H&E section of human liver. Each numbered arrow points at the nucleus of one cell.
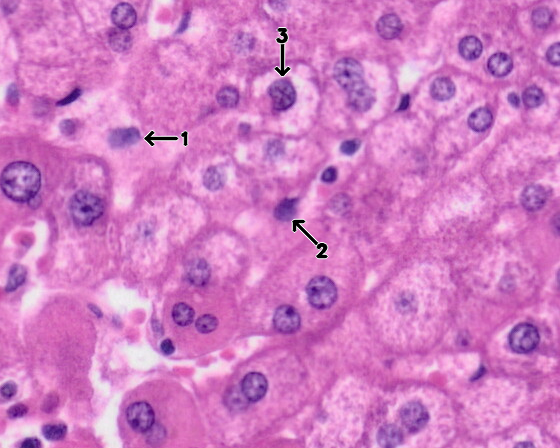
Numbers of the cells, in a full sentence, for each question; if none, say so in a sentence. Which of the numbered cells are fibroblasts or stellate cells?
Only the cell numbered 2 is a fibroblast or stellate cell, and the others are something else.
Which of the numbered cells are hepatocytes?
The nucleus labelled 3 alone belongs to a hepatocyte; the other marked nuclei do not.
